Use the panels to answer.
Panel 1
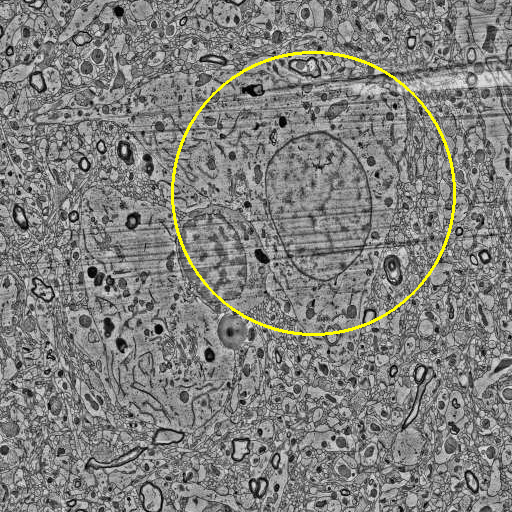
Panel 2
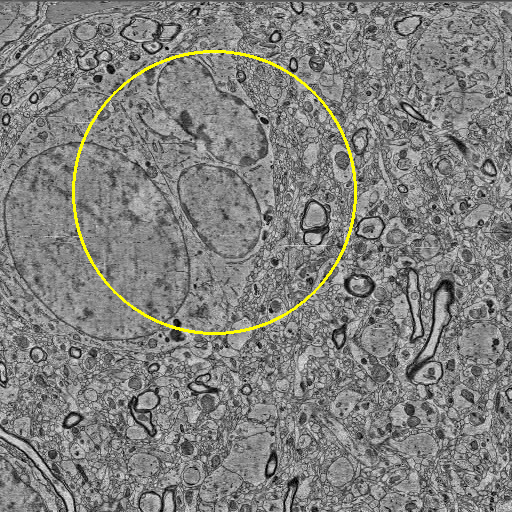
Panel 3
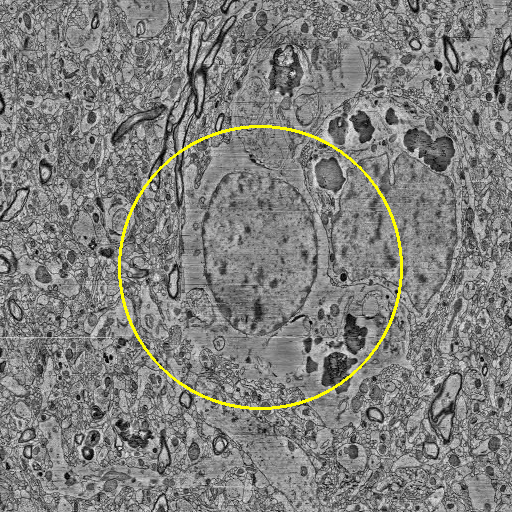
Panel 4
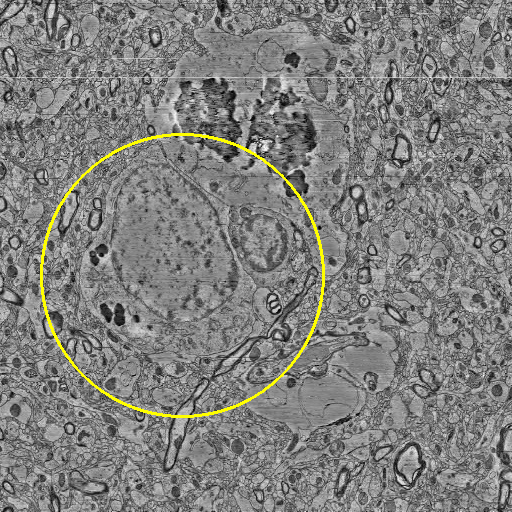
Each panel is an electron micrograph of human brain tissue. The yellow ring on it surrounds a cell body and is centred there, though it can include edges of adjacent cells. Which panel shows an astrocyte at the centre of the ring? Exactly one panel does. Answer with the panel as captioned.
Panel 3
